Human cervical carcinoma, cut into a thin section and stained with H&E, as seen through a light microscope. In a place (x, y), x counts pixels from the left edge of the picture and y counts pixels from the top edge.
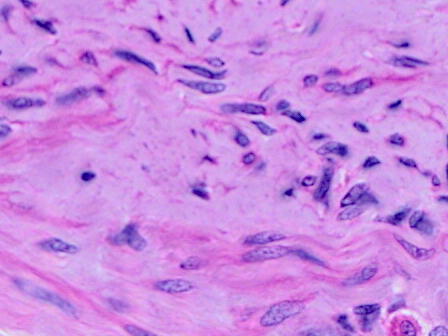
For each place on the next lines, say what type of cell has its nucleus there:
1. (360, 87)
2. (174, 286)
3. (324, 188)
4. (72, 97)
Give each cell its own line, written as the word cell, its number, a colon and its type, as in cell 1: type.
cell 1: smooth muscle cell
cell 2: smooth muscle cell
cell 3: fibroblast
cell 4: smooth muscle cell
